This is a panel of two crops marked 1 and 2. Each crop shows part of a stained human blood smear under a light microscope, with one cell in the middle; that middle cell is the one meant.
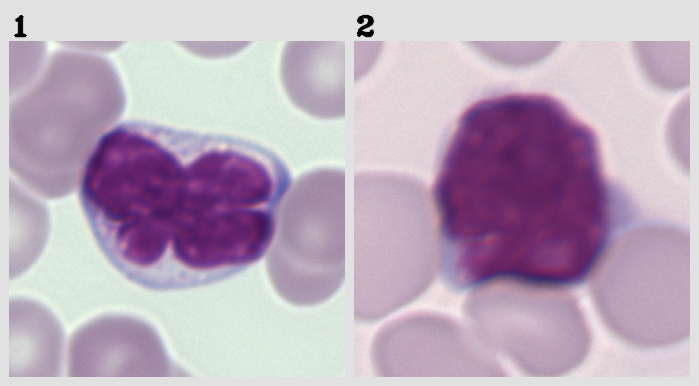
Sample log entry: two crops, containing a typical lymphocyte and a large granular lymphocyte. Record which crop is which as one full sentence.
The cell at the centre of crop 1 is a large granular lymphocyte, and at the centre of crop 2, a typical lymphocyte.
